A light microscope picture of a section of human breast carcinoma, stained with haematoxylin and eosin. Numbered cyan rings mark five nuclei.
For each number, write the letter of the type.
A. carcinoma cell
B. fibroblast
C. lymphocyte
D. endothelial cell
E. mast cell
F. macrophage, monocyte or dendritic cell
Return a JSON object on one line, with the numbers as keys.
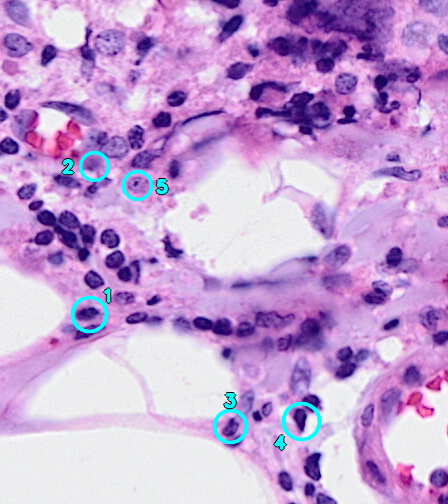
{"1": "C", "2": "D", "3": "C", "4": "C", "5": "E"}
